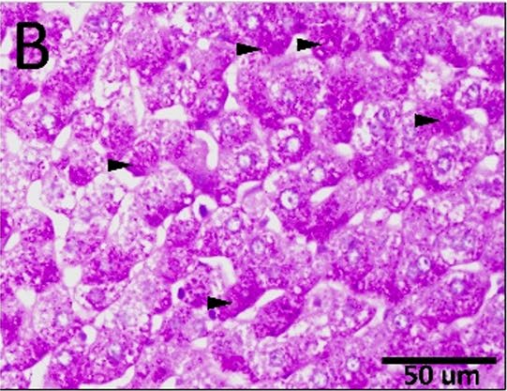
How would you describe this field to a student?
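Liver tissue with hepatocytes shown at high magnification, the polygonal cells lying in cords separated by narrow clear sinusoidal spaces. Each cell has a round, pale central nucleus with a distinct nucleolus. The cytoplasm is filled with coarse, intensely magenta granules that gather in dense clumps, giving the cells a strongly stained, mottled appearance.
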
